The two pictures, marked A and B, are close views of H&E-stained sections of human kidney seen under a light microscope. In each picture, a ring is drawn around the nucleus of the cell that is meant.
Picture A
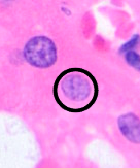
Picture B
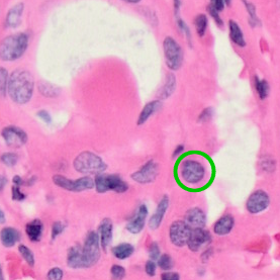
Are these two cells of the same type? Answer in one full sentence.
No; the cell in picture A is a proximal tubule cell, while the one in picture B is a “loop of Henle or distal tubule cell”.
